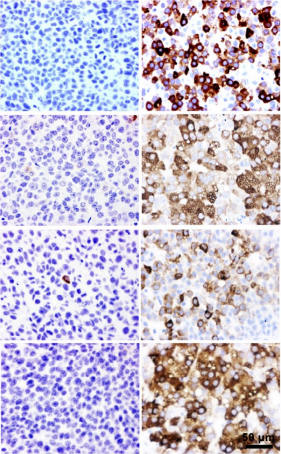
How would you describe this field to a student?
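In the right column many cells have brown-stained cytoplasm, and these cells look larger with more abundant cytoplasm. The brown-stained cells lie scattered or in clusters among unstained cells.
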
